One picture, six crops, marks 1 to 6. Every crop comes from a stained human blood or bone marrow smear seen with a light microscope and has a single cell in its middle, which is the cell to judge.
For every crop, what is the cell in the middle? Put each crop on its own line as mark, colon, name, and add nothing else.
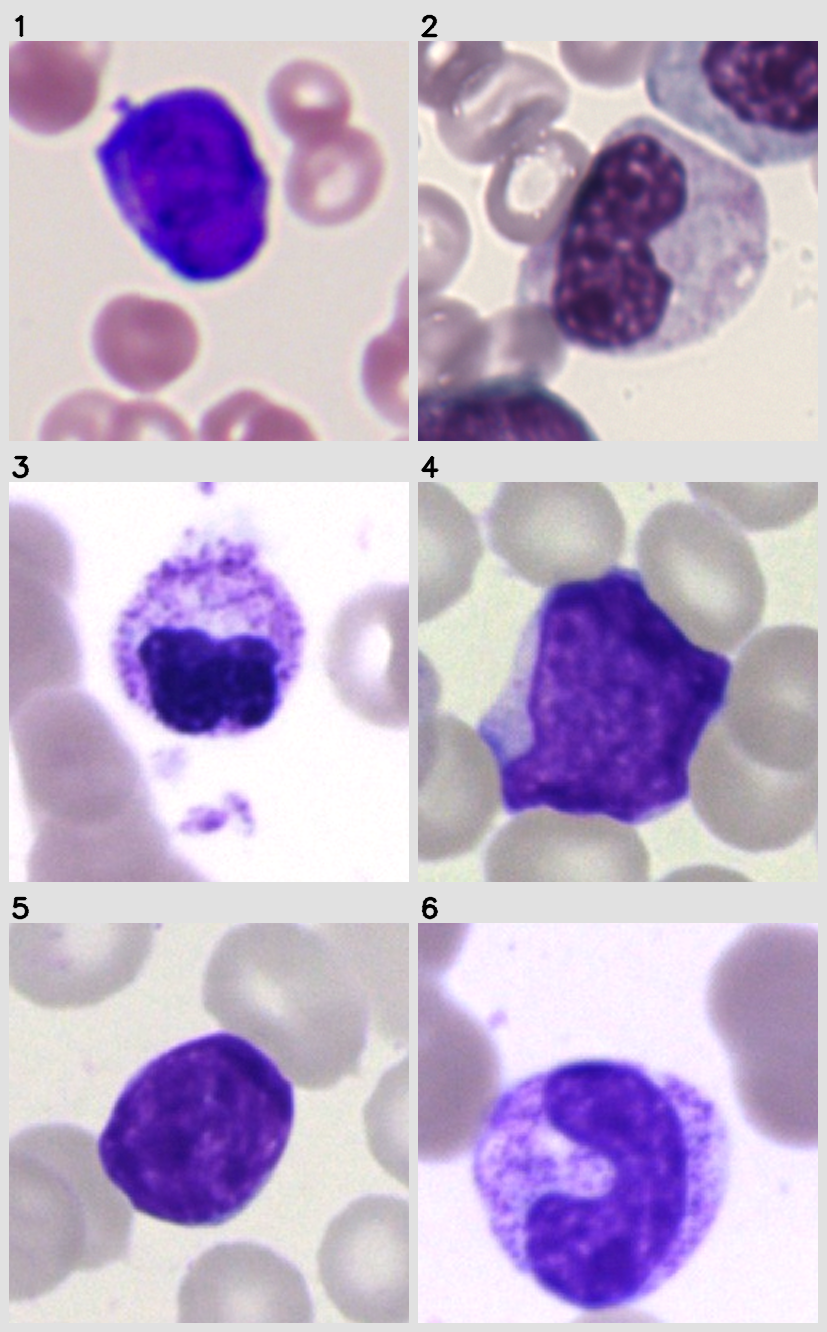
1: blast
2: band neutrophil
3: segmented neutrophil
4: blast
5: blast
6: band neutrophil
